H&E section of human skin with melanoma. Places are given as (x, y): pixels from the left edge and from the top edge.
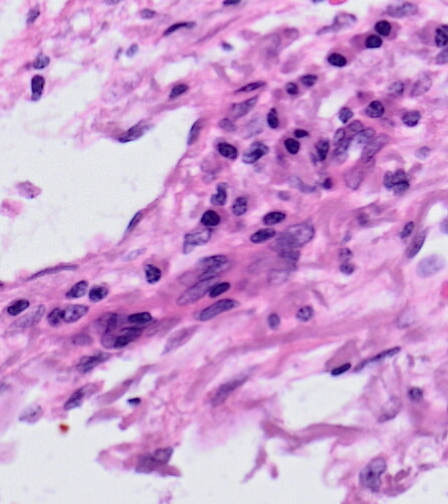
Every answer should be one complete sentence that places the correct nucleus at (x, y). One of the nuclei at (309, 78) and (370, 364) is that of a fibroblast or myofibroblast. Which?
The one at (370, 364) is the nucleus belonging to a fibroblast or myofibroblast, not the other one.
